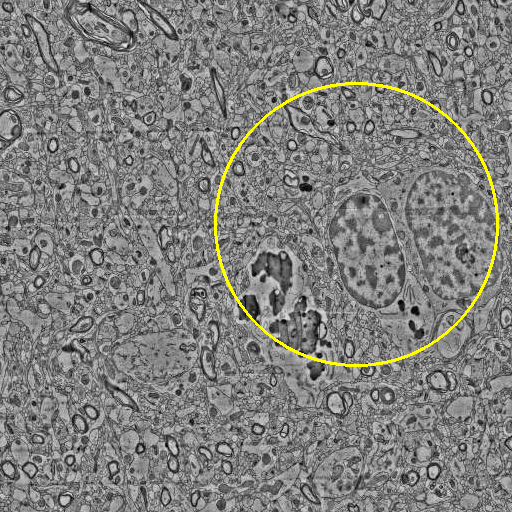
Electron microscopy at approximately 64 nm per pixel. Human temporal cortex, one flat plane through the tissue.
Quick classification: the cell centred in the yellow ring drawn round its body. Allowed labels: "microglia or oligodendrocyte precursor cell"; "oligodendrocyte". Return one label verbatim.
microglia or oligodendrocyte precursor cell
